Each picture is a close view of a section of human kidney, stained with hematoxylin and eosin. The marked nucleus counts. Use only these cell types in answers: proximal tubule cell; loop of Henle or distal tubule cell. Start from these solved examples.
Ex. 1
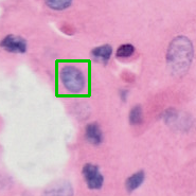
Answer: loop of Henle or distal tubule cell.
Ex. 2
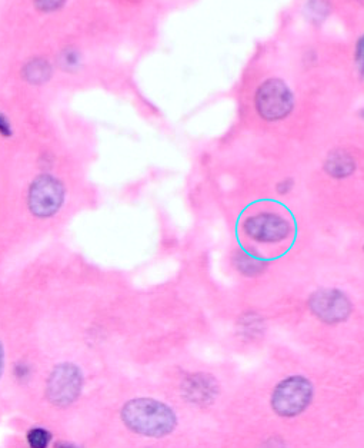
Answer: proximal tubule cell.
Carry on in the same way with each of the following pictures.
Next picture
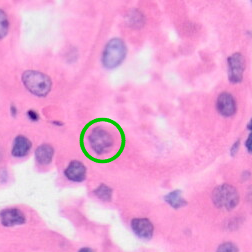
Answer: proximal tubule cell.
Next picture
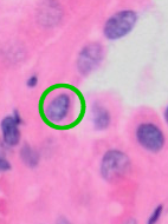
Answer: loop of Henle or distal tubule cell.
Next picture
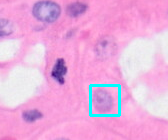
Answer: proximal tubule cell.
